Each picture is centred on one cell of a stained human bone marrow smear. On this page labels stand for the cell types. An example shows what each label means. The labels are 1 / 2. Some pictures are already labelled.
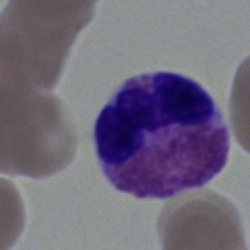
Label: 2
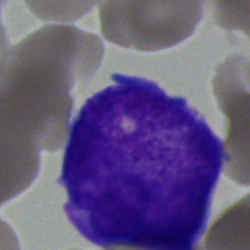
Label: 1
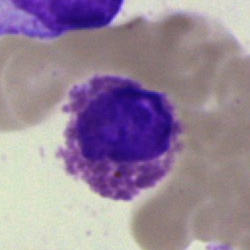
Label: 2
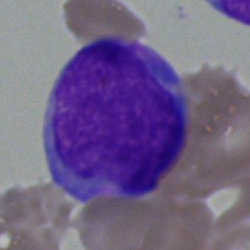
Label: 1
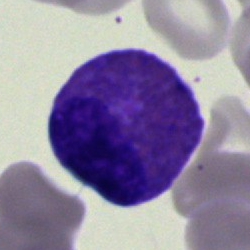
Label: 2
